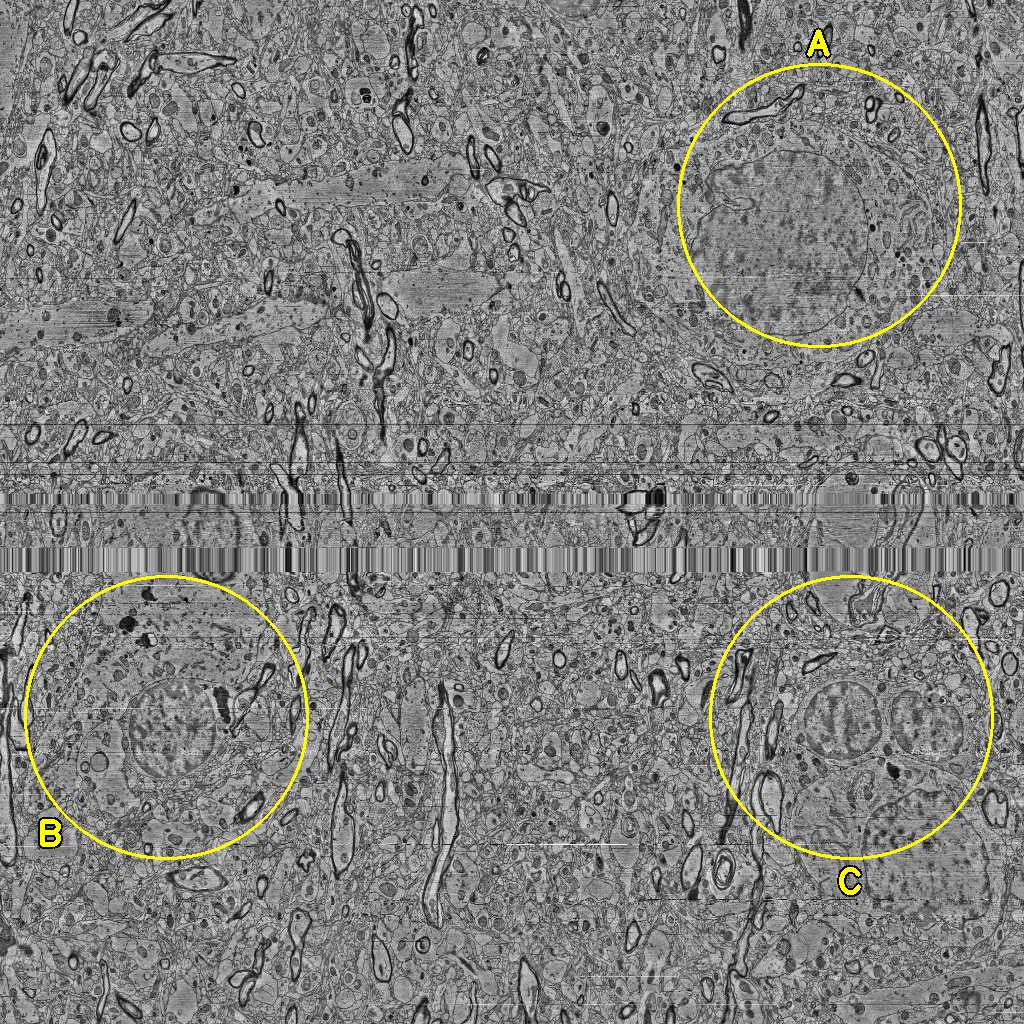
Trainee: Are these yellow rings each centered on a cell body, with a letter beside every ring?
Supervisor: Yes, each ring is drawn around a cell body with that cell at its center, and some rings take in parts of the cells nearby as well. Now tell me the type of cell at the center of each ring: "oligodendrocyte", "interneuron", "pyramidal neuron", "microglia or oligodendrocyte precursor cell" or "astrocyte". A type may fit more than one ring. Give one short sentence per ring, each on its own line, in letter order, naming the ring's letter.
Ring A has an interneuron at its center.
Ring B has an oligodendrocyte at its center.
Ring C has an oligodendrocyte at its center.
